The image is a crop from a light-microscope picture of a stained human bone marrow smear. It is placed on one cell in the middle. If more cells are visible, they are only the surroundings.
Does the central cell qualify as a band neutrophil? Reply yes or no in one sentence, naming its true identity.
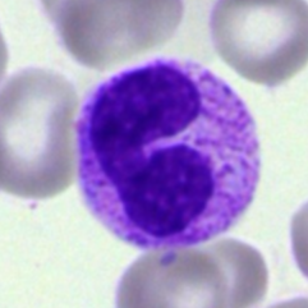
Yes, the cell in the center of this crop is a band neutrophil.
